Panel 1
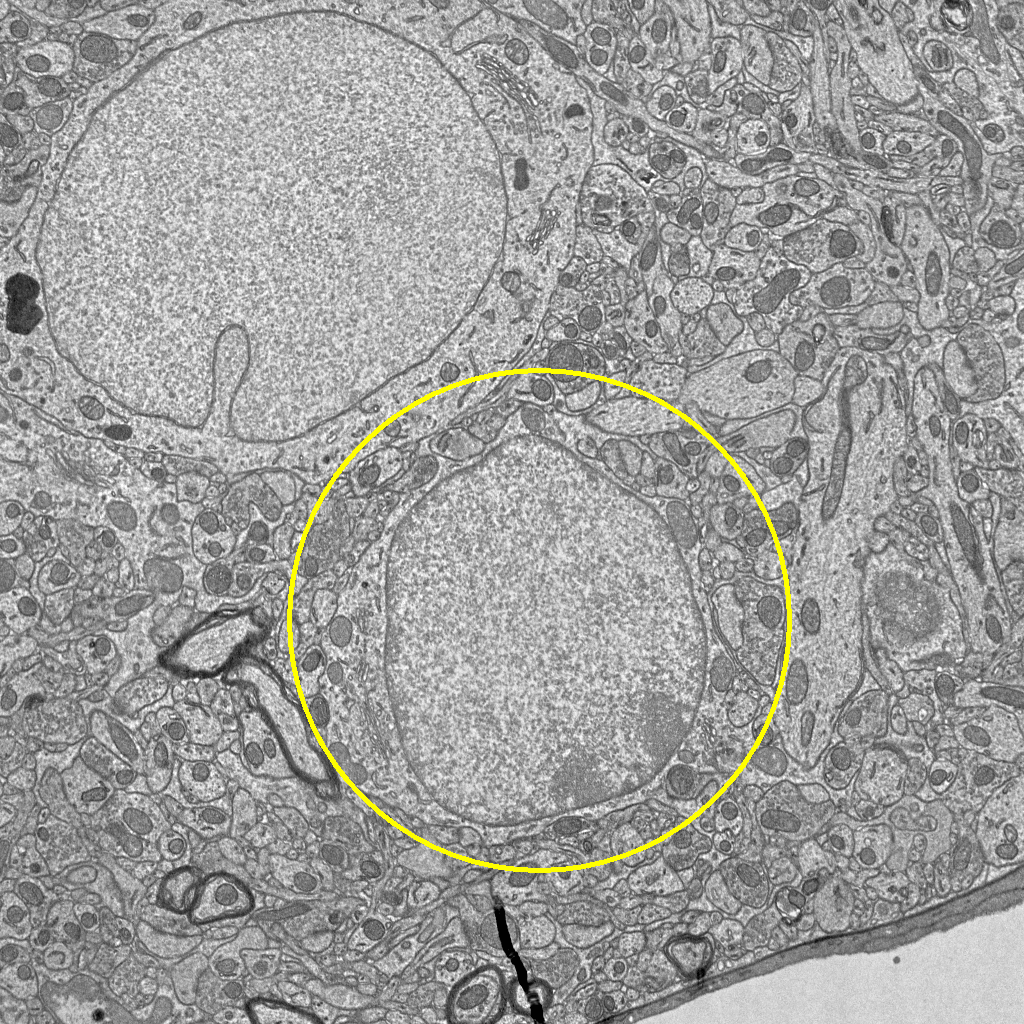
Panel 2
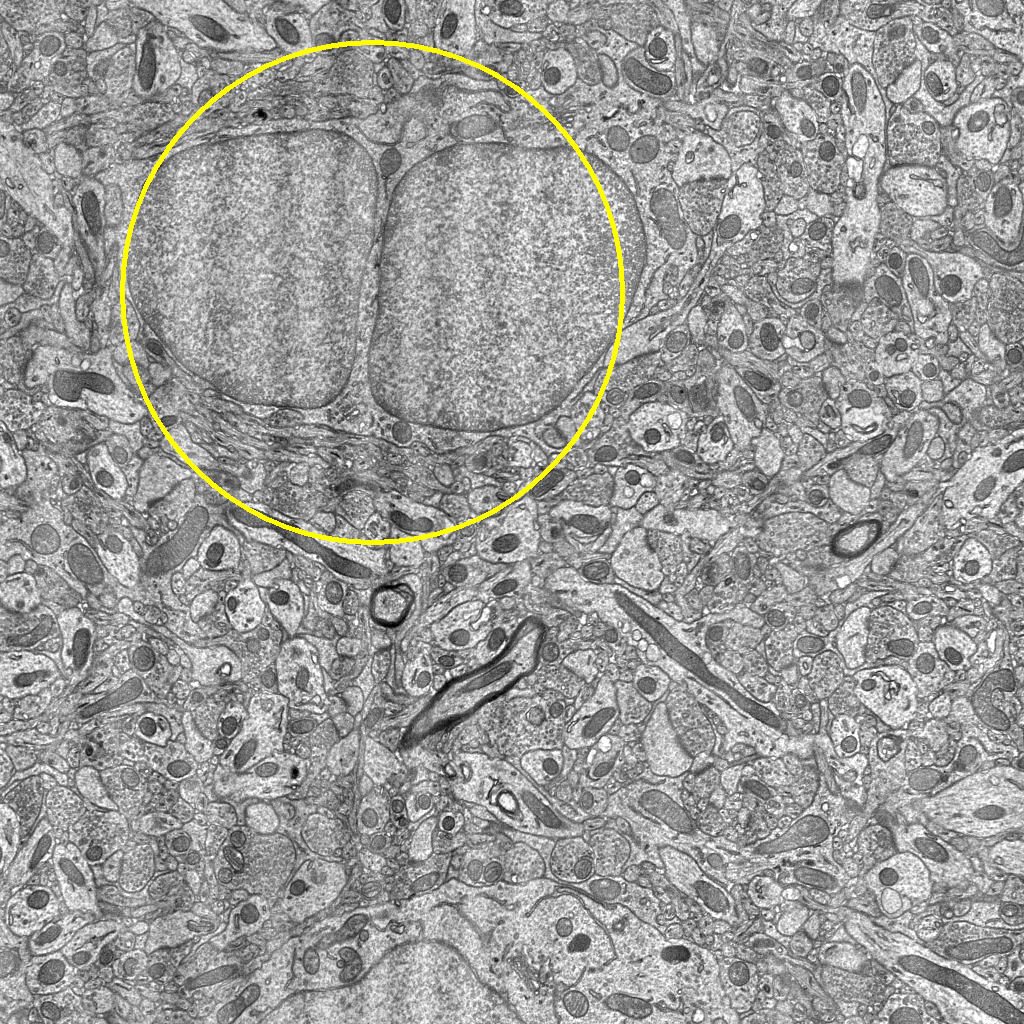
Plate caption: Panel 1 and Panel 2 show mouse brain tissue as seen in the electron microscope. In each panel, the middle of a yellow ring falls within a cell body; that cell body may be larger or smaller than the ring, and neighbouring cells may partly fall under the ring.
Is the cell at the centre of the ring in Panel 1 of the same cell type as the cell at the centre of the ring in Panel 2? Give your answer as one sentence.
Yes, the two cells are of the same type.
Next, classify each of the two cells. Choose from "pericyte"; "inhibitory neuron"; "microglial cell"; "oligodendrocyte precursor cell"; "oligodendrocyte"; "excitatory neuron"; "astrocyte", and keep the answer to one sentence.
The ring centre holds an astrocyte in each of the two pictures.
